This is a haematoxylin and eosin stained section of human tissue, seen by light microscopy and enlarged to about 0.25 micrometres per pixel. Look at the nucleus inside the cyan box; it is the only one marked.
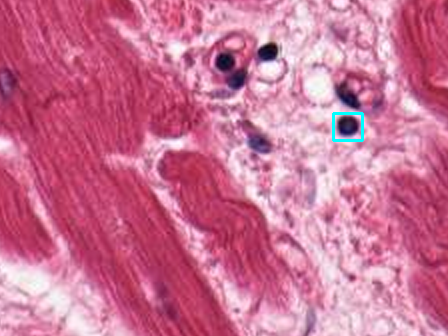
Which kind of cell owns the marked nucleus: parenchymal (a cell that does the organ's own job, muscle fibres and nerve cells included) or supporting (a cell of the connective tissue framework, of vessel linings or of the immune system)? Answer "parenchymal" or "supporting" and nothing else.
supporting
